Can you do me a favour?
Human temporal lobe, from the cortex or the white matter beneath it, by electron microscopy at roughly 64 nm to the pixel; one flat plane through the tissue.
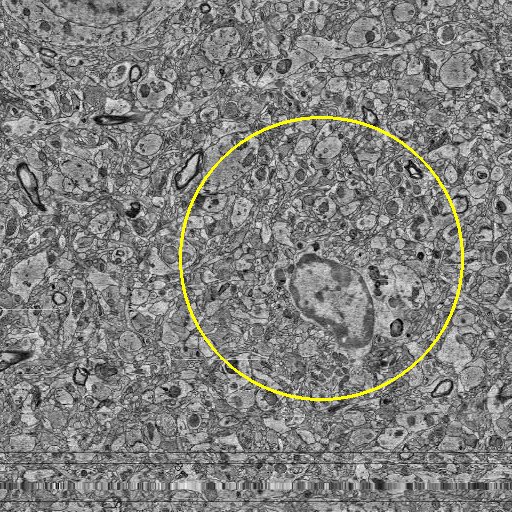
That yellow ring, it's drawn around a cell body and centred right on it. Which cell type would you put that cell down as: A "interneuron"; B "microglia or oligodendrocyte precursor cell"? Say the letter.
B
